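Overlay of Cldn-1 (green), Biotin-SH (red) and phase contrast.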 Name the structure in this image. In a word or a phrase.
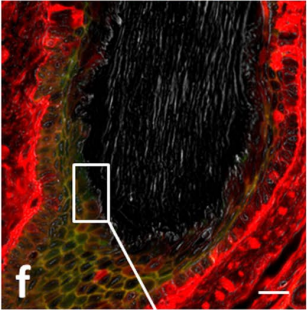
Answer: club hair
